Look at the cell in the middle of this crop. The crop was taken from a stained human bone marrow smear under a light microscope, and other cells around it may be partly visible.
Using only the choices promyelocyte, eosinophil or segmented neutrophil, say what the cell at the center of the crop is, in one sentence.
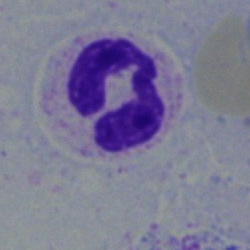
Here the centrally located cell is a segmented neutrophil.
